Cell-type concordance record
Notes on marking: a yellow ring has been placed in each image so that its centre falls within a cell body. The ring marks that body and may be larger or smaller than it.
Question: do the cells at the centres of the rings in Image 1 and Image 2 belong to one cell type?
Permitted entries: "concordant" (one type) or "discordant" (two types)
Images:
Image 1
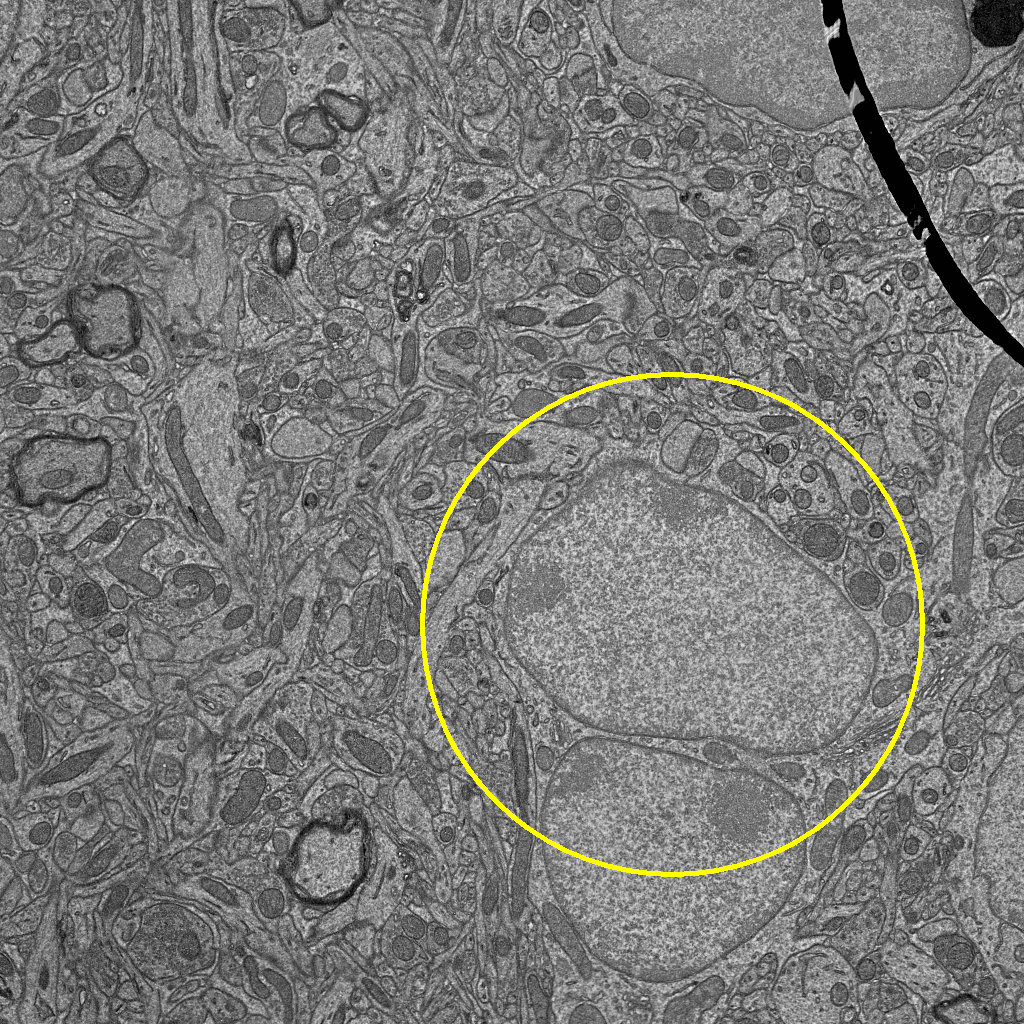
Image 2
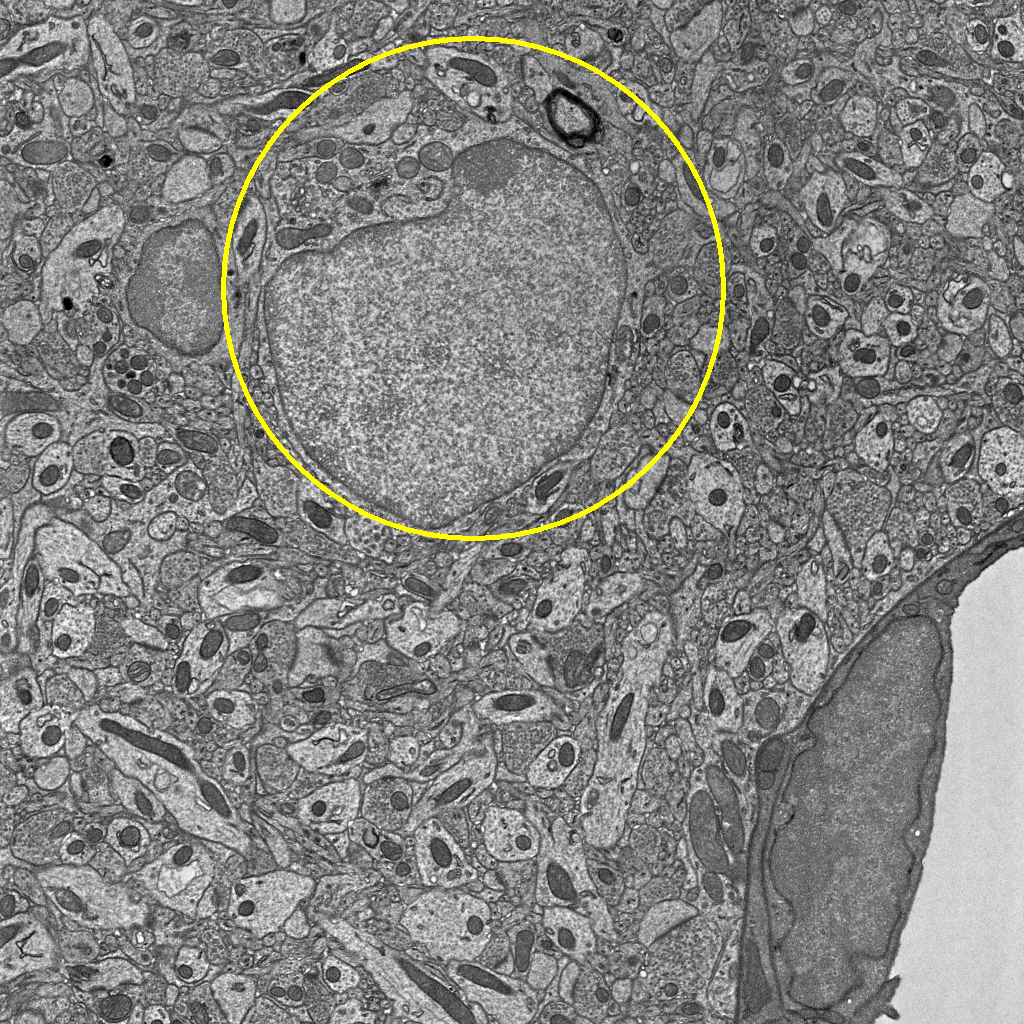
concordant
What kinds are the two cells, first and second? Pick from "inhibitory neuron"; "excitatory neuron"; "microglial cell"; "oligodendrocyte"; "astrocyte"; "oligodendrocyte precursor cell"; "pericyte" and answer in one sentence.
The second cell is an astrocyte, just as the first is.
